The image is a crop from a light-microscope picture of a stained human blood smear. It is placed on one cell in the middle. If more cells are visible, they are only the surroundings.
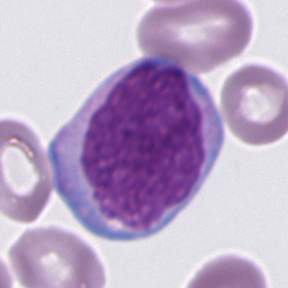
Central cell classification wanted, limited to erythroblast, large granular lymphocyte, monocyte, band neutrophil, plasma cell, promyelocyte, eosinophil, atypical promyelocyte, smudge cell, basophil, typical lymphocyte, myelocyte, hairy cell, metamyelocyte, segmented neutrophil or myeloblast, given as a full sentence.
For this crop, the cell in the middle is an atypical promyelocyte.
